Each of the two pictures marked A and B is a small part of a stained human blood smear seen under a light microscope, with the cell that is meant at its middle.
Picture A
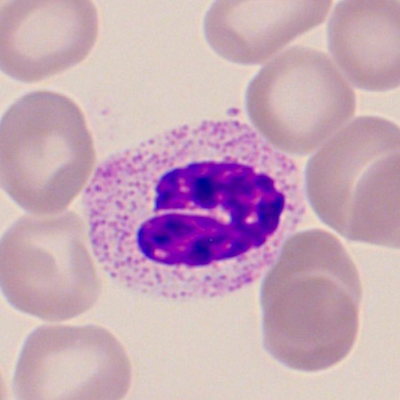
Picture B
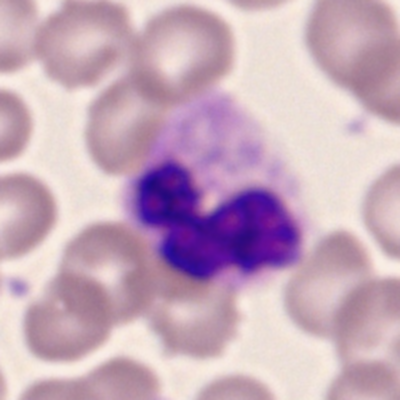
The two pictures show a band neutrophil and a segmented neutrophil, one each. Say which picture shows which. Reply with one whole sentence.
The cell in picture A is a band neutrophil, and the one in picture B is a segmented neutrophil.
